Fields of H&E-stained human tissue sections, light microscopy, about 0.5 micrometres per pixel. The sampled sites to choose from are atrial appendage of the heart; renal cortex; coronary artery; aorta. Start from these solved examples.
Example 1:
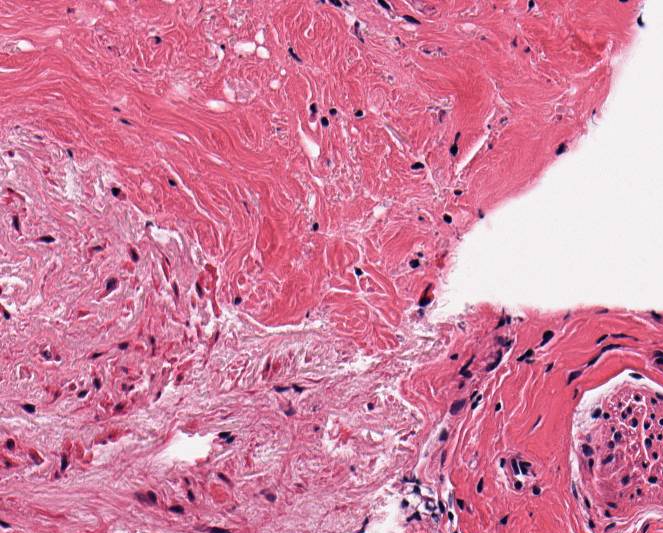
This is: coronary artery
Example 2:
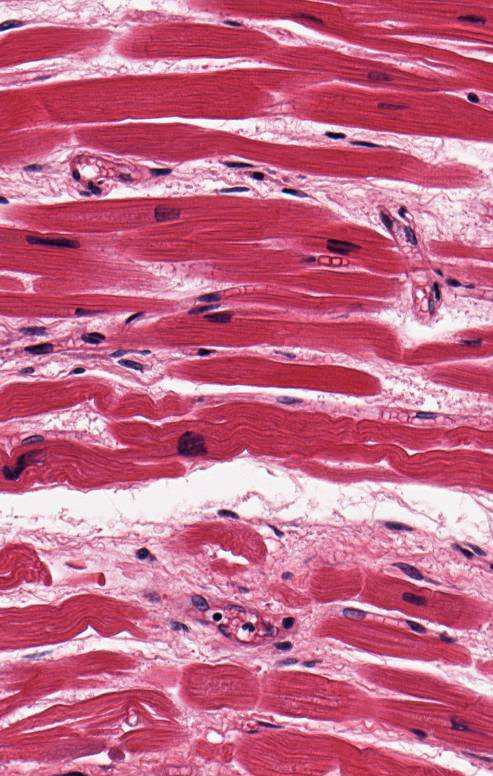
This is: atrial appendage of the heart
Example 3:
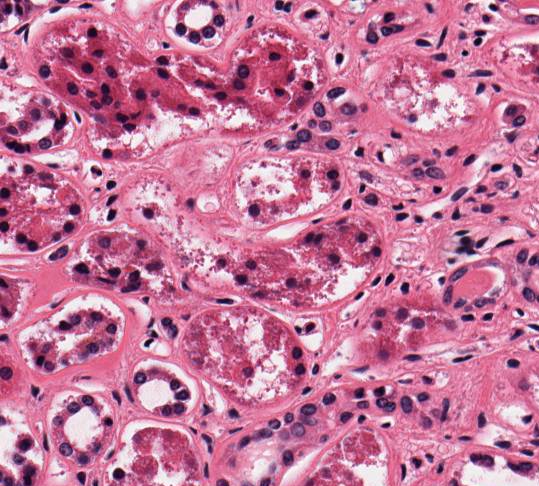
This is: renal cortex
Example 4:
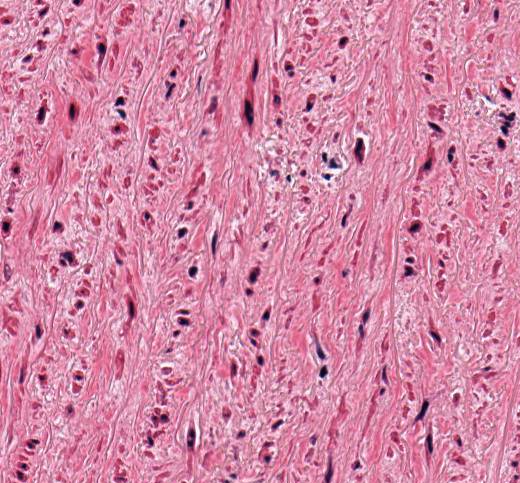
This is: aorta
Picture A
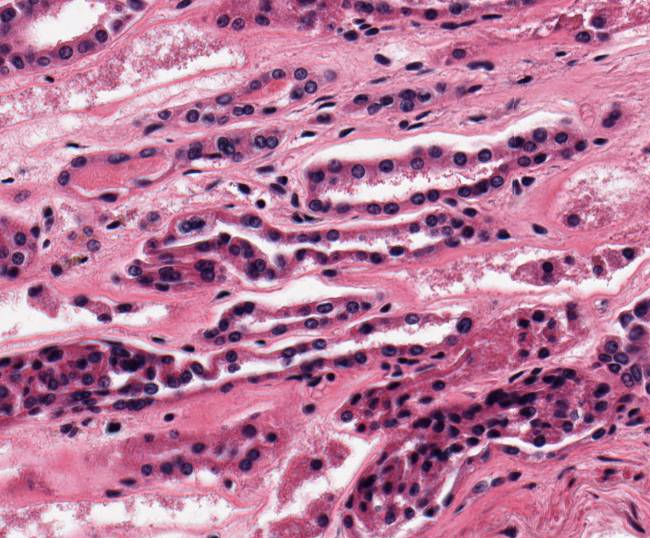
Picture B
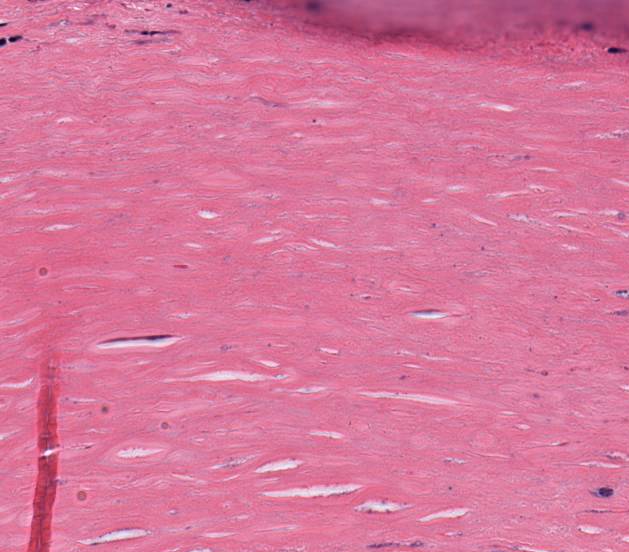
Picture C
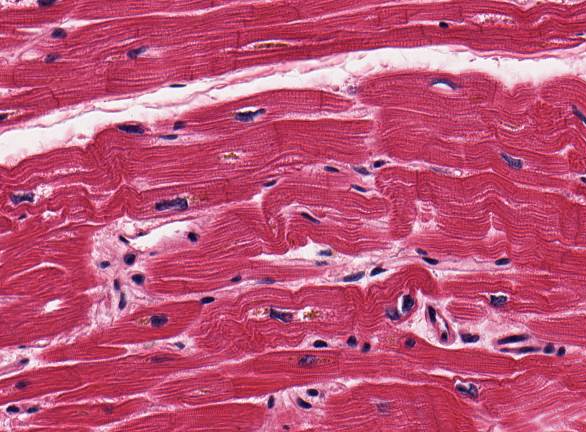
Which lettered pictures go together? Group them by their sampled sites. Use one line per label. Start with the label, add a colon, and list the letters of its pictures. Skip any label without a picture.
atrial appendage of the heart: C
renal cortex: A
coronary artery: B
